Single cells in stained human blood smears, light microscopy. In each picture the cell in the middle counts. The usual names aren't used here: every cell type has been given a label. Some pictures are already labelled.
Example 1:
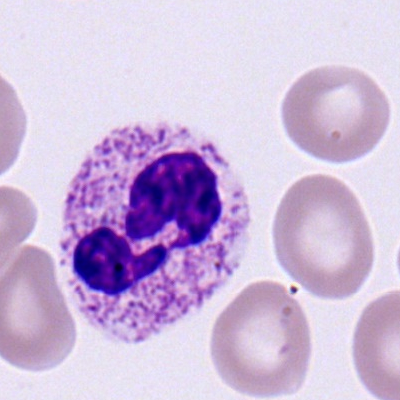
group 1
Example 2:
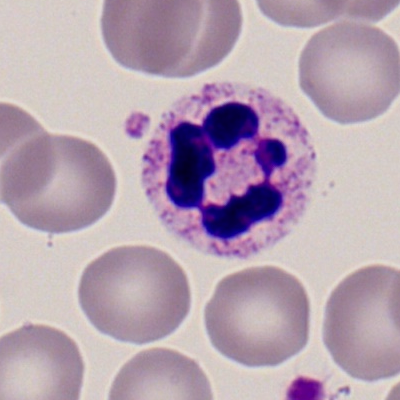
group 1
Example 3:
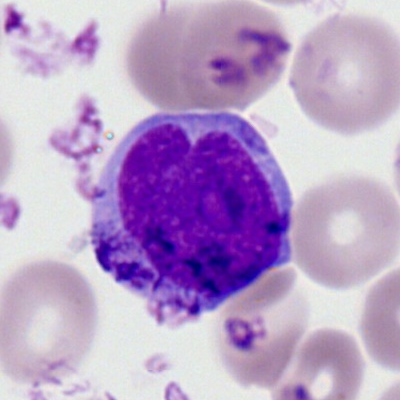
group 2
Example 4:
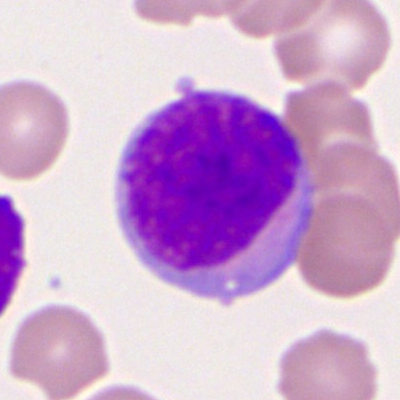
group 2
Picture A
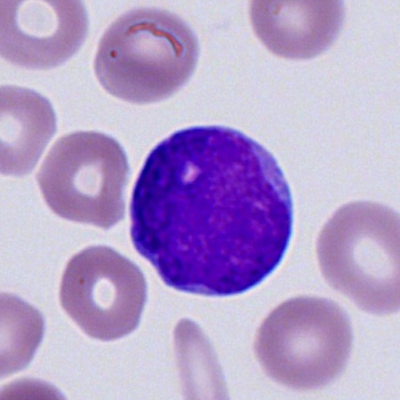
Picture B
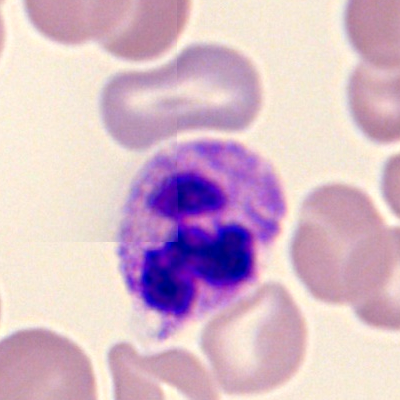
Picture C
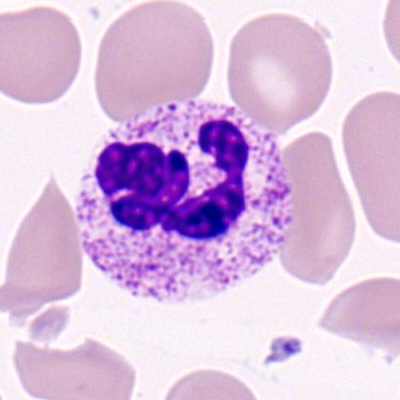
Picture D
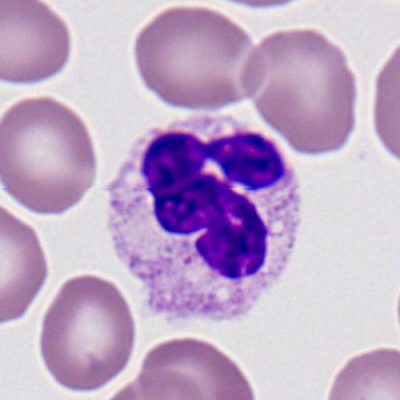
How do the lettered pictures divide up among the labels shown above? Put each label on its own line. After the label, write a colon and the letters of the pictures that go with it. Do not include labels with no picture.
group 1: B, C, D
group 2: A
